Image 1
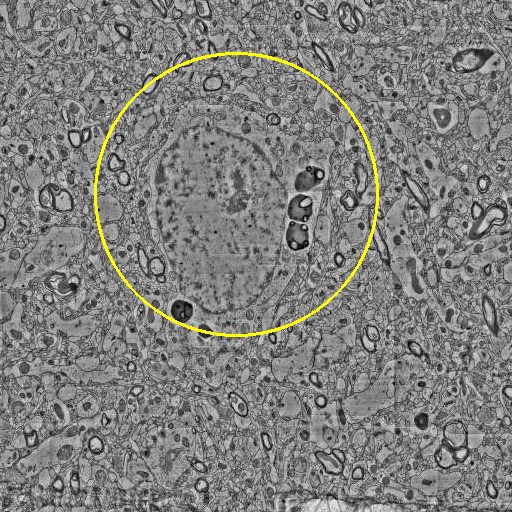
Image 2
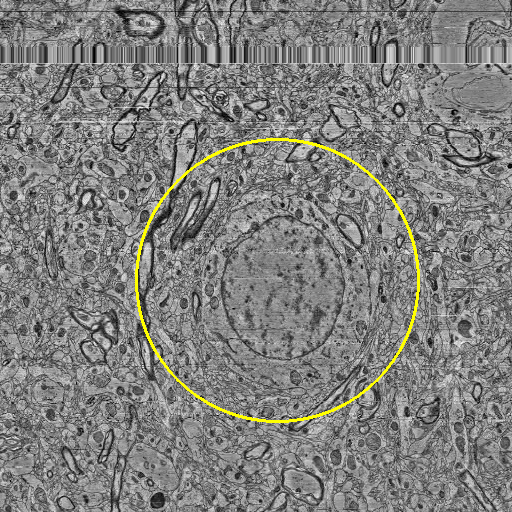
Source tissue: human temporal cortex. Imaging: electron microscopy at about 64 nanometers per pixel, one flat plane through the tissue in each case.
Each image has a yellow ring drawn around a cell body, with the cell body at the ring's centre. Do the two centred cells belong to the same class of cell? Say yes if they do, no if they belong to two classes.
no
